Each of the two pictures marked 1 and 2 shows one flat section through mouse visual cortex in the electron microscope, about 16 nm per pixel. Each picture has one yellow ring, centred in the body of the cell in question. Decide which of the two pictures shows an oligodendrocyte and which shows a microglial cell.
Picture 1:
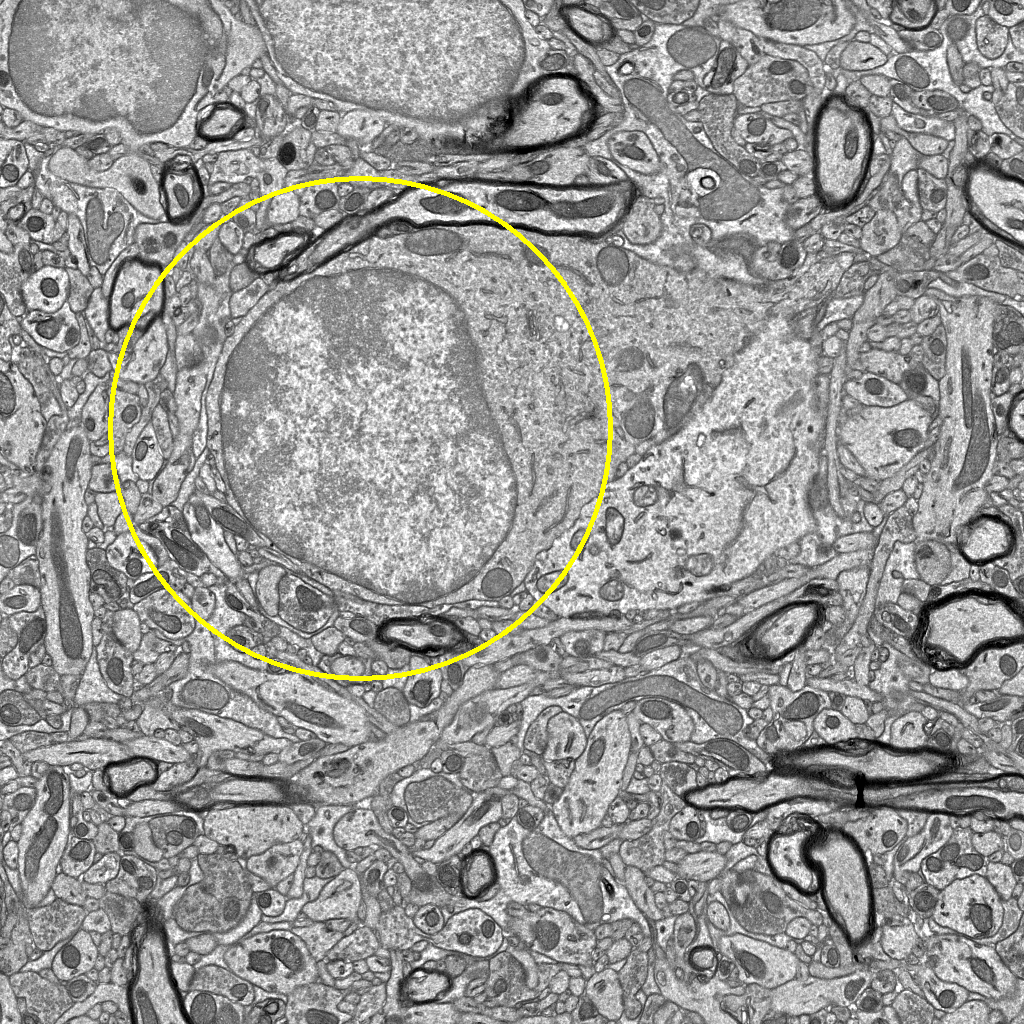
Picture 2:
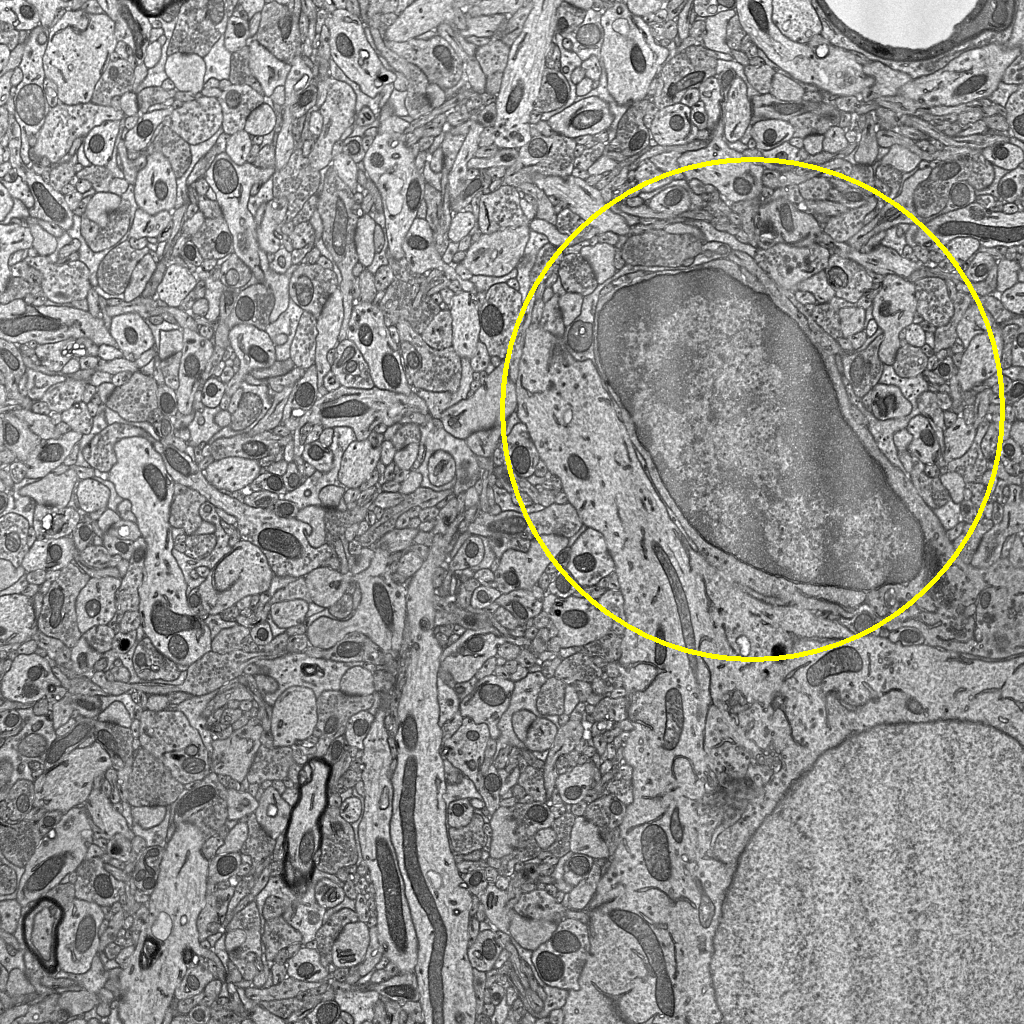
Picture 2 shows a microglial cell, while picture 1 shows an oligodendrocyte.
